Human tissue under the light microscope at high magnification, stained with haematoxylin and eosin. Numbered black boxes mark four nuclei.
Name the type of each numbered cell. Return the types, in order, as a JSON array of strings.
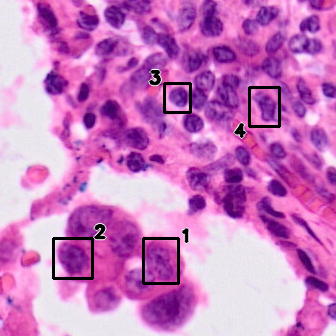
["carcinoma cell", "carcinoma cell", "lymphocyte", "lymphocyte"]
